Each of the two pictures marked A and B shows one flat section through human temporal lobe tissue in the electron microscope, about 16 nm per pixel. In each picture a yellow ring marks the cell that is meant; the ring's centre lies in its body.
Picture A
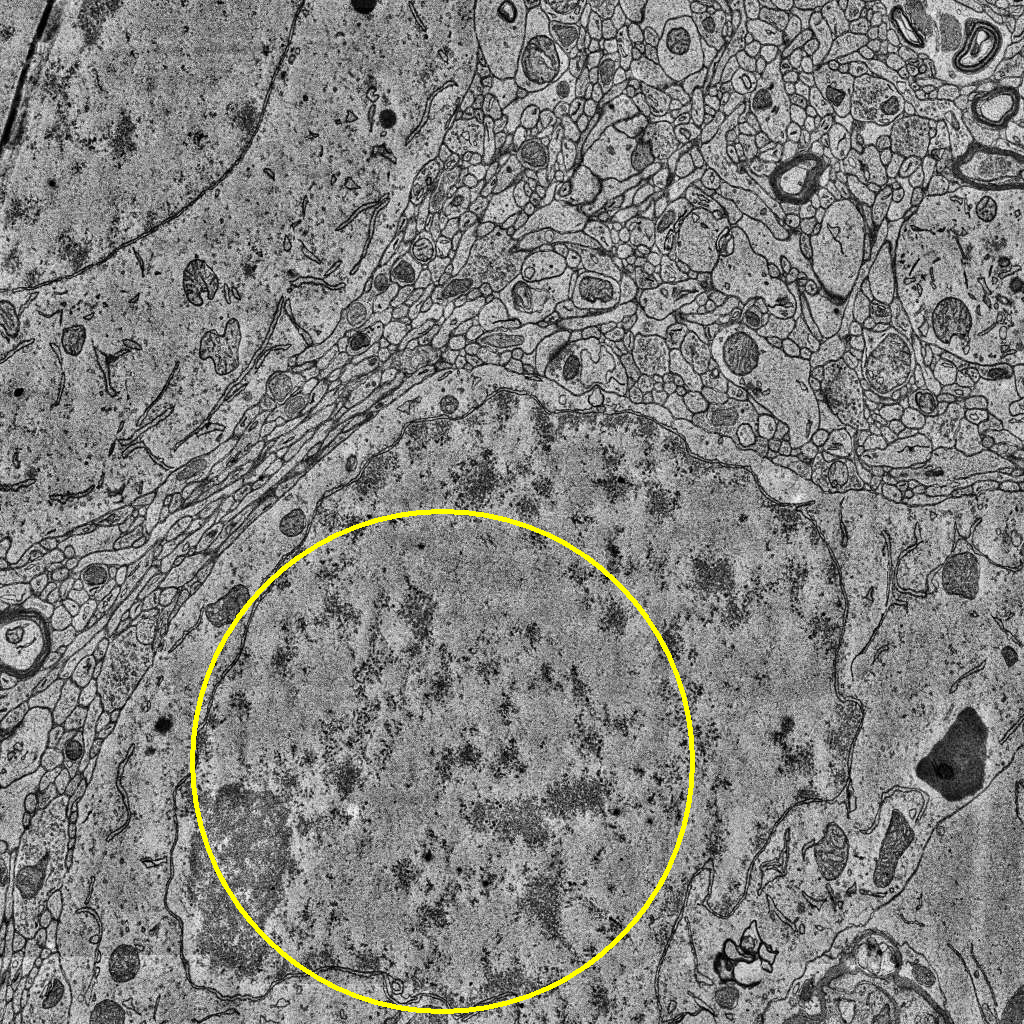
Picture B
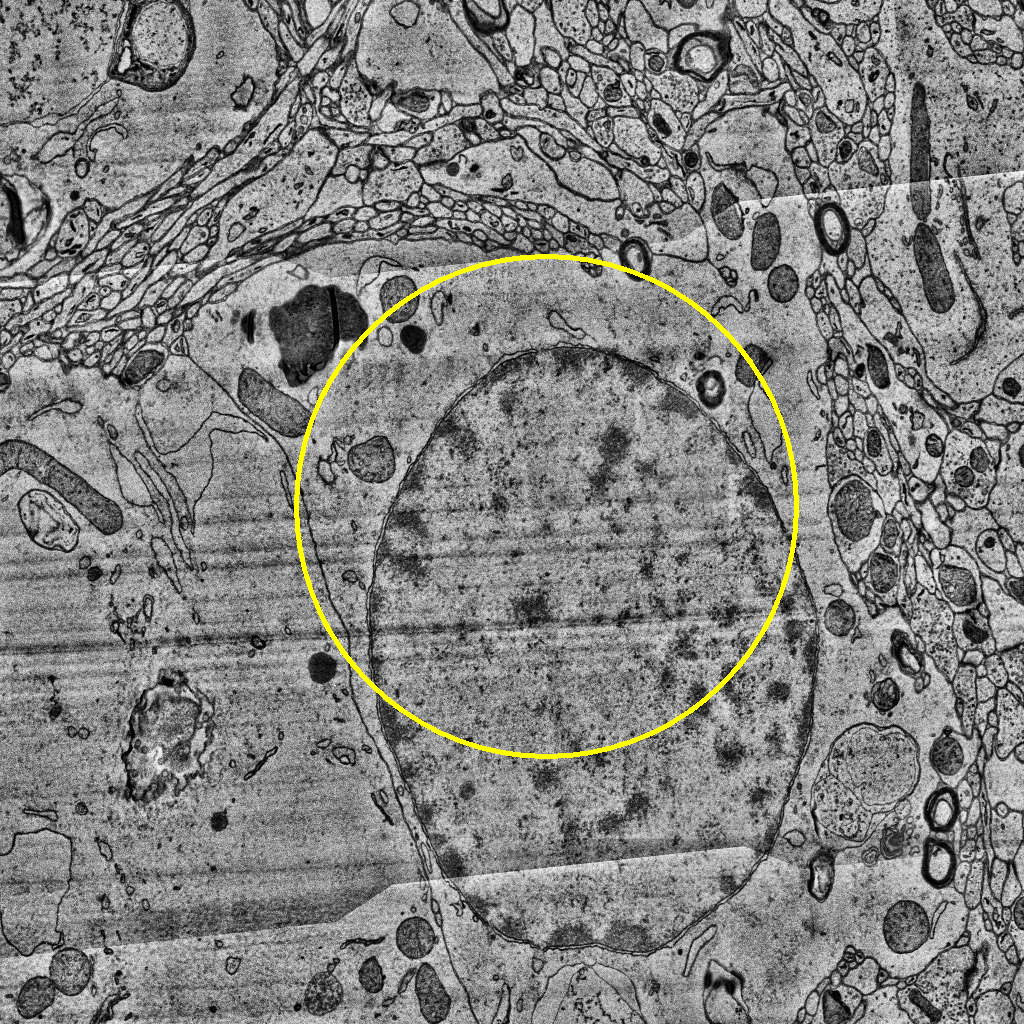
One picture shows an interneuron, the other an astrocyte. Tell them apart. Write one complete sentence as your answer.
It is picture A that shows an interneuron, and picture B that shows an astrocyte.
